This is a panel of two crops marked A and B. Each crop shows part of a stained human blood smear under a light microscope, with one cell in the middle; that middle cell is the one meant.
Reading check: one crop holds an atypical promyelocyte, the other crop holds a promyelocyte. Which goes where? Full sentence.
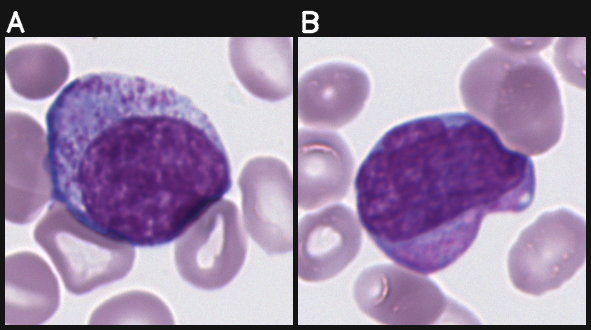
Crop A is to be labelled a promyelocyte, and crop B an atypical promyelocyte.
